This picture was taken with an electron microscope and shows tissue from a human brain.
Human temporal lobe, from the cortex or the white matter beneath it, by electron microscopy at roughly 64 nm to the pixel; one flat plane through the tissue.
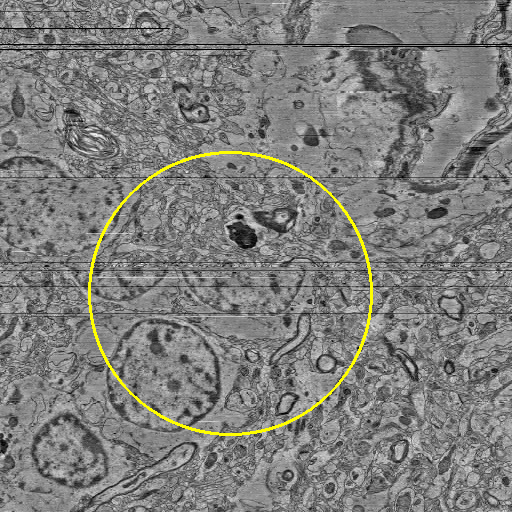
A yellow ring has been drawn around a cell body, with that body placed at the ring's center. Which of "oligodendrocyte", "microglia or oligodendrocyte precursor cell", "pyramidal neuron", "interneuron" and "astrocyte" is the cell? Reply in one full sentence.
In this picture, an astrocyte is the cell at the center of the yellow ring.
